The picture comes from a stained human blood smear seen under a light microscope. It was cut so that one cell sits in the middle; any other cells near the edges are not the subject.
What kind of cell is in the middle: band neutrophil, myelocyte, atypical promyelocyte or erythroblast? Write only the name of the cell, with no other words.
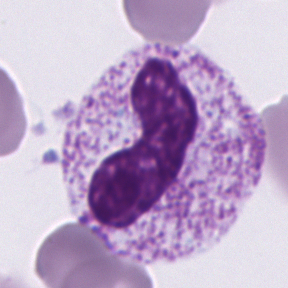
band neutrophil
